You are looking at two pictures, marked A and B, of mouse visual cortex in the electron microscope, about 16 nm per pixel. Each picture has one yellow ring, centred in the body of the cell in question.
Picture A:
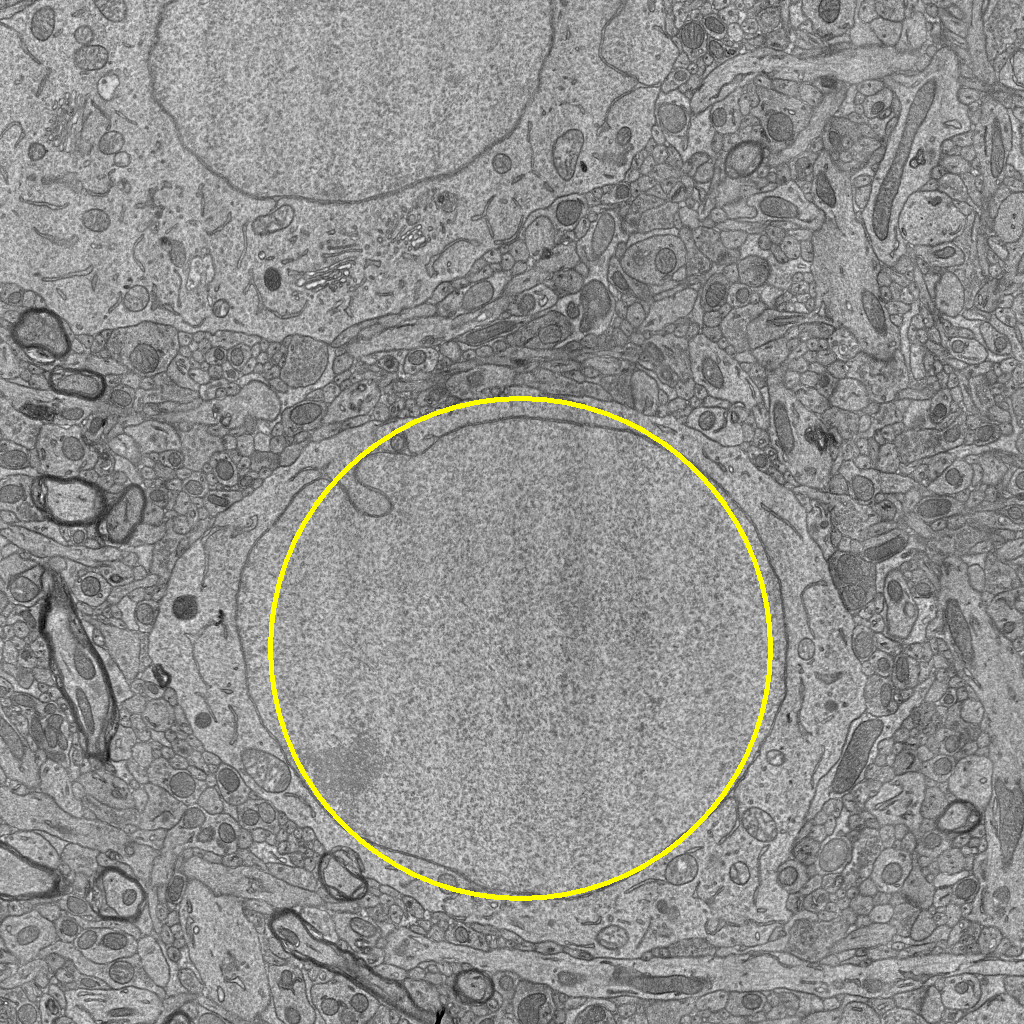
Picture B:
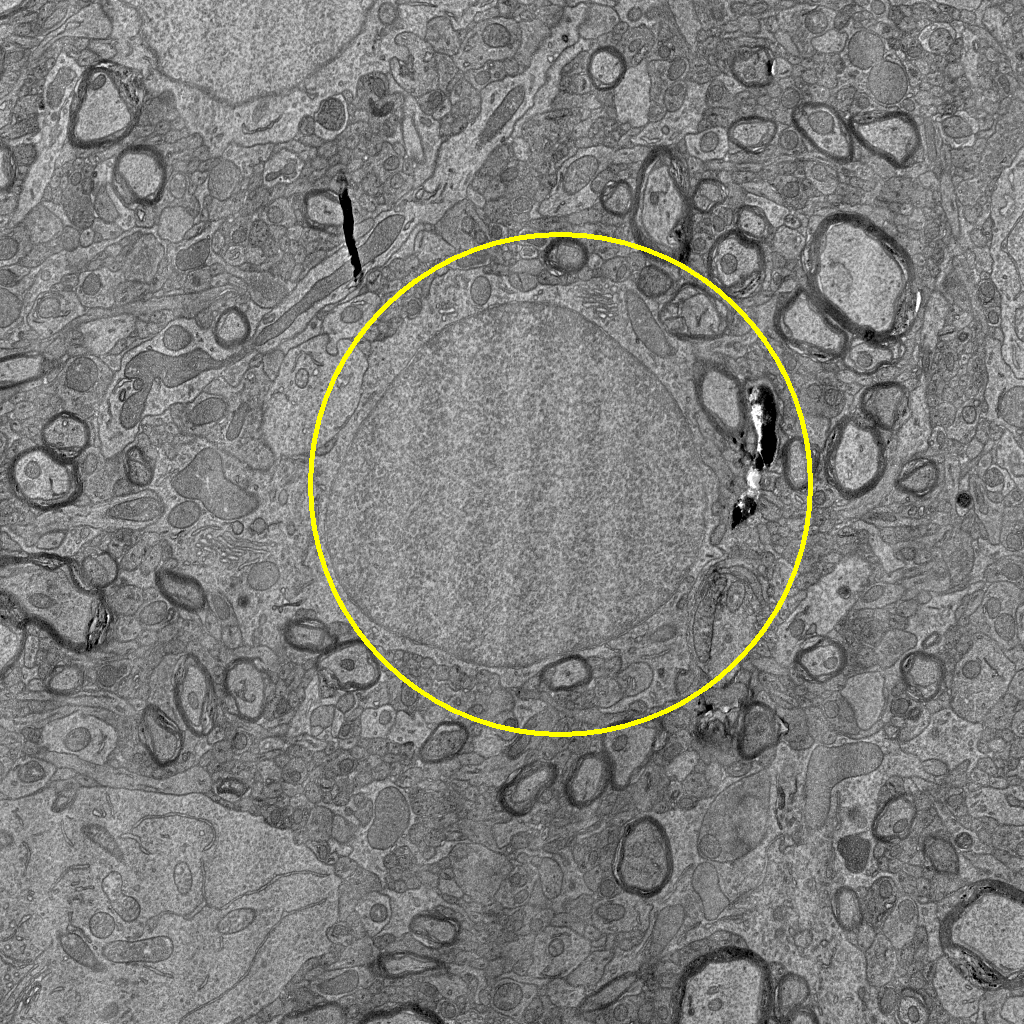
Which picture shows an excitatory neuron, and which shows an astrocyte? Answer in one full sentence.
The cell in picture A is an excitatory neuron, and the one in picture B is an astrocyte.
